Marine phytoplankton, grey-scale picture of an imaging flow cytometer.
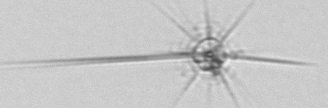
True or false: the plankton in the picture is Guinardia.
False; it is a radiolarian.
